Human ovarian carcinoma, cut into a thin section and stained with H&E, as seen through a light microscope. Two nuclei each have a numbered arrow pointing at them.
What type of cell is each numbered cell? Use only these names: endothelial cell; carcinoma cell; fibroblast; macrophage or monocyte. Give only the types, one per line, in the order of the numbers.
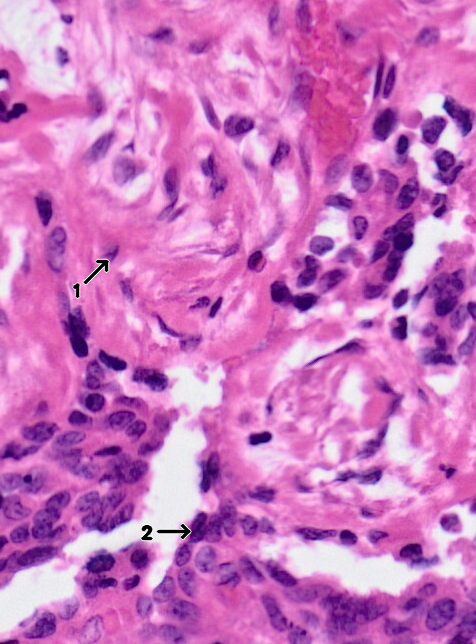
fibroblast
carcinoma cell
